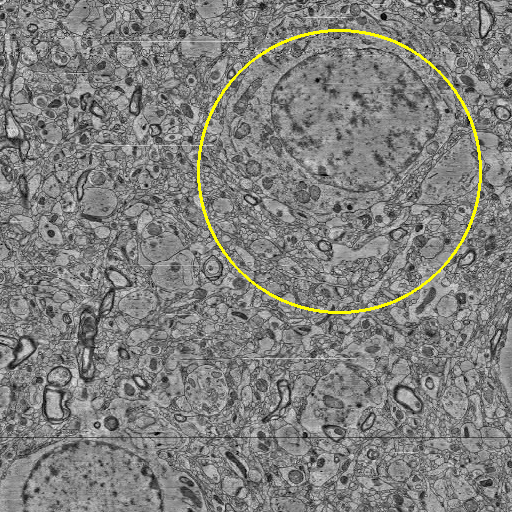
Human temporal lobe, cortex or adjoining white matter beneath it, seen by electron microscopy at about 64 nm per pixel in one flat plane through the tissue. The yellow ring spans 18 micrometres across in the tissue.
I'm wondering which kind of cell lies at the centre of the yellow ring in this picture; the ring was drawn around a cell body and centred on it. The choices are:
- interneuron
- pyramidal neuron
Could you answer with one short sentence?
At the centre of the ring lies an interneuron.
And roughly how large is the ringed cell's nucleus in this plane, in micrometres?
Roughly 10 micrometres across for the nucleus, in this plane.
